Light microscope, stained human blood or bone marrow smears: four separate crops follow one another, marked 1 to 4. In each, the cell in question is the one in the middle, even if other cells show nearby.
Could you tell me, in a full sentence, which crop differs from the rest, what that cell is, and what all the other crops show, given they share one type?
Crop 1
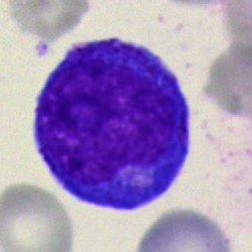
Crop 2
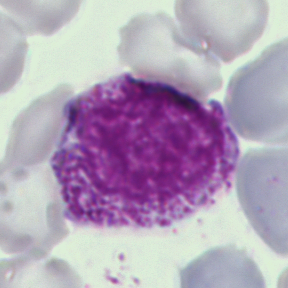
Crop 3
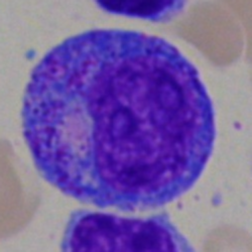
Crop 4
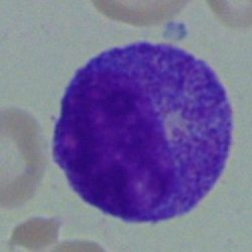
The crop that differs is crop 2, showing a myelocyte; the others show promyelocytes.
